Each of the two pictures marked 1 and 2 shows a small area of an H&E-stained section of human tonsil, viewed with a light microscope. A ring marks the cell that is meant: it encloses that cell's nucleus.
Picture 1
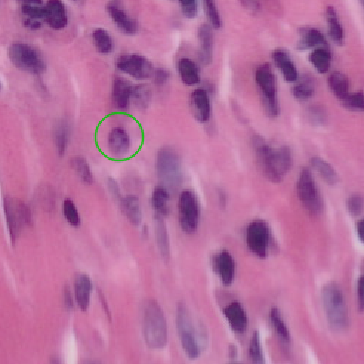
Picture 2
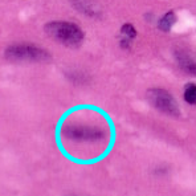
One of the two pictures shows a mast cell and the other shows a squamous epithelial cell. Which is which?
1: mast cell
2: squamous epithelial cell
